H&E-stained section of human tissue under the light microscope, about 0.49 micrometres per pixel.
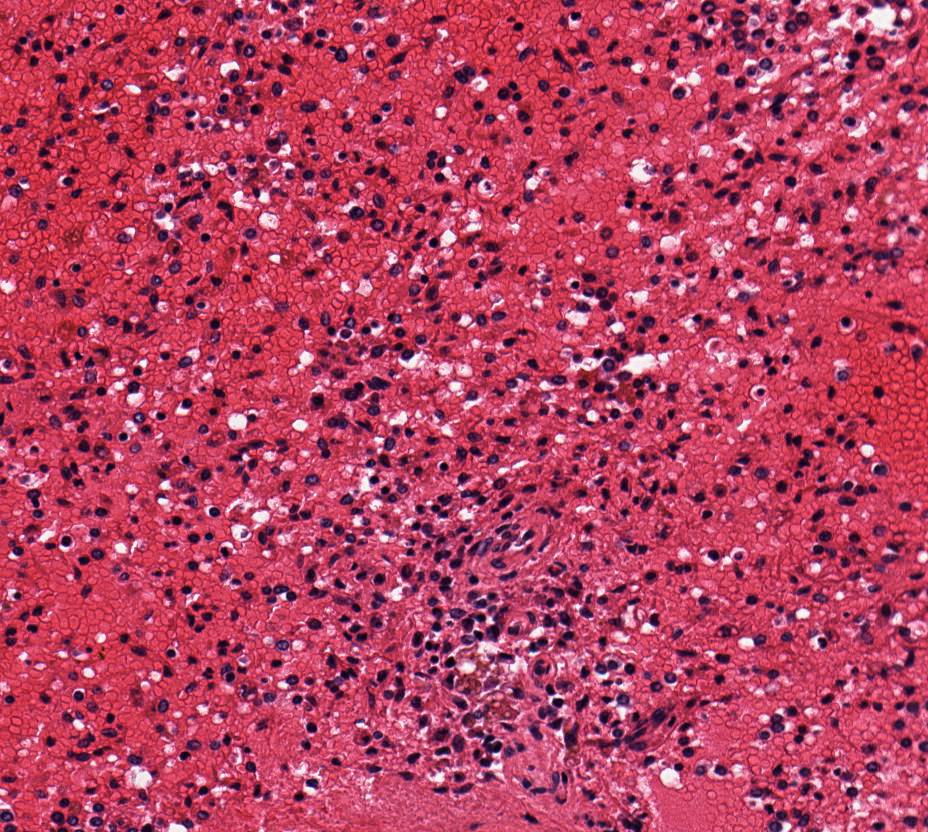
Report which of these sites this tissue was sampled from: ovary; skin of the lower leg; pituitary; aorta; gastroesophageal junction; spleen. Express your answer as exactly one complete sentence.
A piece of the spleen was sampled for this section.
